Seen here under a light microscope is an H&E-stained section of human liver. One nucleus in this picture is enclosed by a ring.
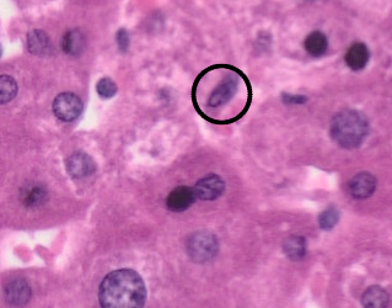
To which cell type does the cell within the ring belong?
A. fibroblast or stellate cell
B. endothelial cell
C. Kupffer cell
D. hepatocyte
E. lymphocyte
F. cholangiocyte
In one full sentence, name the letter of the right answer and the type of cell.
Option C is correct here; the cell within the ring is a Kupffer cell.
